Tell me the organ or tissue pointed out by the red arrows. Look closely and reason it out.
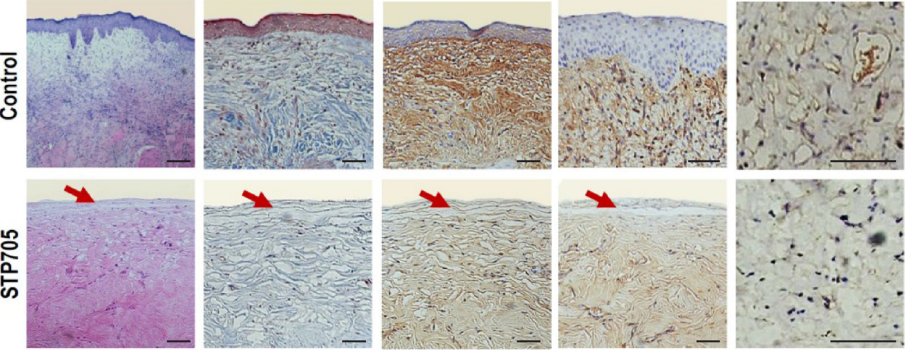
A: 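The red arrows point at the thin surface layer at the top of each section. A dense connective tissue lies beneath that surface layer. So: epidermis layer of the skin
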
